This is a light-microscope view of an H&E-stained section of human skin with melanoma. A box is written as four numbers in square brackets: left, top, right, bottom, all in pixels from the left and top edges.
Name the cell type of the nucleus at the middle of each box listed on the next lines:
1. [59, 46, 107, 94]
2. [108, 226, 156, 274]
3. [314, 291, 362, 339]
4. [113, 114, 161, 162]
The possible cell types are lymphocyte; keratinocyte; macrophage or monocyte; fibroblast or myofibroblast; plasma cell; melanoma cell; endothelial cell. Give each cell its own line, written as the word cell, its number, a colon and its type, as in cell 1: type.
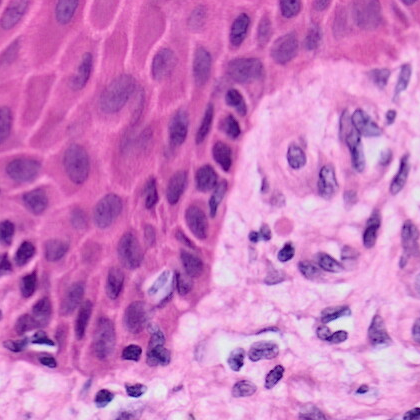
cell 1: keratinocyte
cell 2: keratinocyte
cell 3: fibroblast or myofibroblast
cell 4: keratinocyte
